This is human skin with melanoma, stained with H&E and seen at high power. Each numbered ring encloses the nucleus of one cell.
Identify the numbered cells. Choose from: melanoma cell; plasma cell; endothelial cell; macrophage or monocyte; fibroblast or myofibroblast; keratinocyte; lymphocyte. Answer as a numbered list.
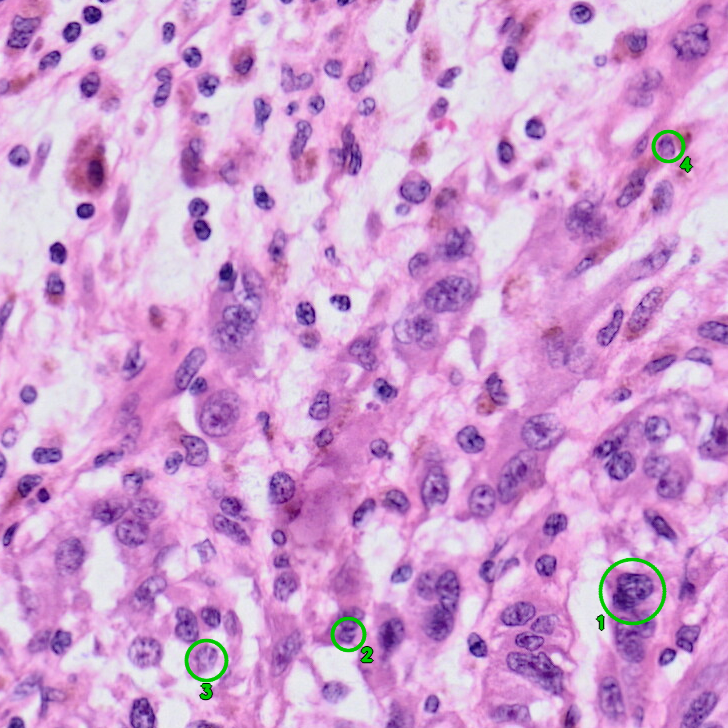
1. melanoma cell
2. melanoma cell
3. melanoma cell
4. macrophage or monocyte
